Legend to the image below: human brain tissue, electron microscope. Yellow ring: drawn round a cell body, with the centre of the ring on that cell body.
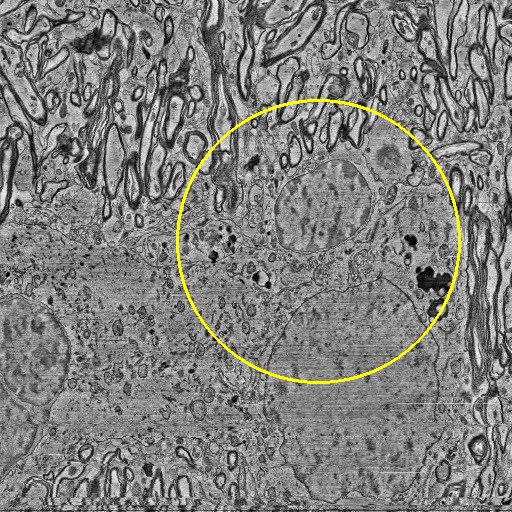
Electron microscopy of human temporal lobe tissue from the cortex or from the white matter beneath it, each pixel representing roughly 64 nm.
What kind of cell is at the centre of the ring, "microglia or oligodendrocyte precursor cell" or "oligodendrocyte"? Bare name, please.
microglia or oligodendrocyte precursor cell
